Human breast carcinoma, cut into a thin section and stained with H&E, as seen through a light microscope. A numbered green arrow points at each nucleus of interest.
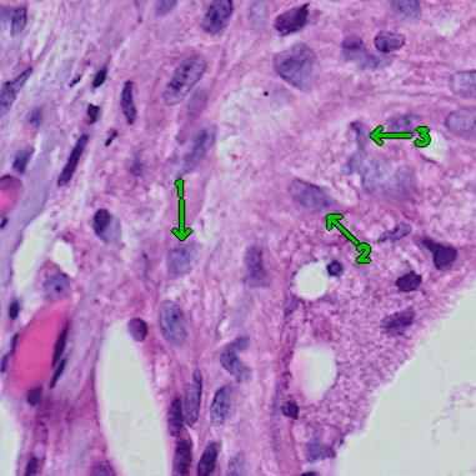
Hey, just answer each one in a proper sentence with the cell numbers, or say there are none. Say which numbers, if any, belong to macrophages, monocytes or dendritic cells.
Among the numbered cells, the one that is a macrophage, monocyte or dendritic cell is cell 3 alone.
